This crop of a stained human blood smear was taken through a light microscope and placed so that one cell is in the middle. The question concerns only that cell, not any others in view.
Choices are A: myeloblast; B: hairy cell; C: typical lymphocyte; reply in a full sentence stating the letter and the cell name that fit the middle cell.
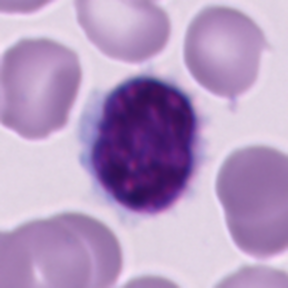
The cell right in the middle is a hairy cell, so option B is the one.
